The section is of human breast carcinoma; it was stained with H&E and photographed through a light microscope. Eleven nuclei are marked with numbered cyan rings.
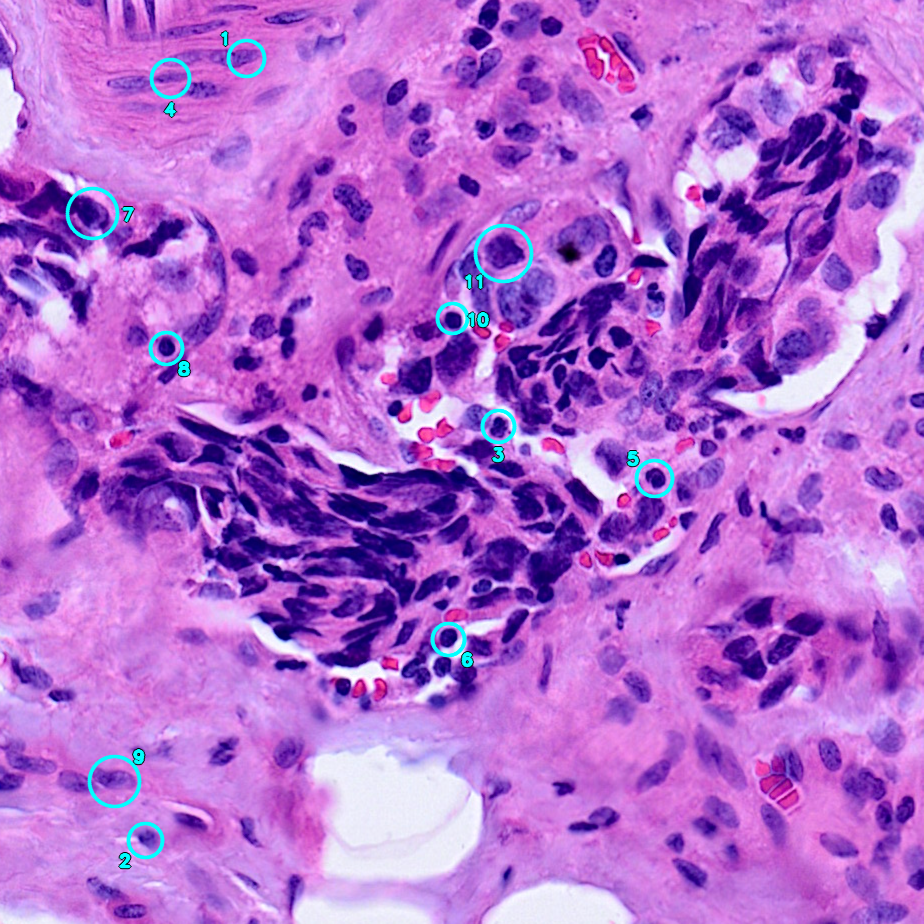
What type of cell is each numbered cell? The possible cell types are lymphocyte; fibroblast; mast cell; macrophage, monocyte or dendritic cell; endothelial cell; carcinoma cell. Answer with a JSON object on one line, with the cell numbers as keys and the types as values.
{"1": "endothelial cell", "2": "fibroblast", "3": "lymphocyte", "4": "endothelial cell", "5": "lymphocyte", "6": "lymphocyte", "7": "carcinoma cell", "8": "lymphocyte", "9": "endothelial cell", "10": "lymphocyte", "11": "carcinoma cell"}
